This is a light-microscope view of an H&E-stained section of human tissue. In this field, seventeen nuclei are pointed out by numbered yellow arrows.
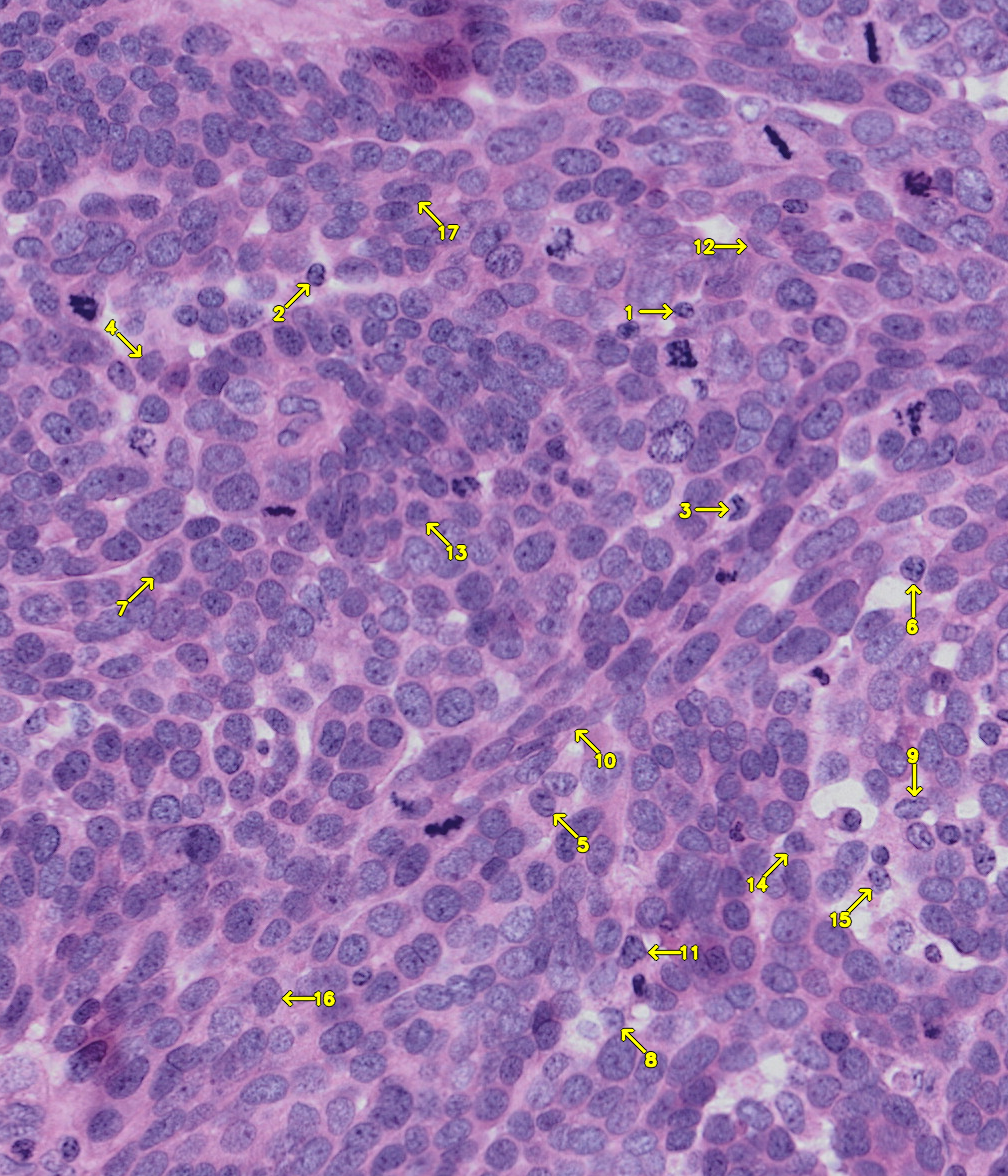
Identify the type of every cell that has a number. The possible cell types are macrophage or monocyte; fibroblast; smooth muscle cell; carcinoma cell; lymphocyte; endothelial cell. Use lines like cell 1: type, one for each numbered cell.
cell 1: lymphocyte
cell 2: lymphocyte
cell 3: macrophage or monocyte
cell 4: carcinoma cell
cell 5: macrophage or monocyte
cell 6: macrophage or monocyte
cell 7: carcinoma cell
cell 8: macrophage or monocyte
cell 9: macrophage or monocyte
cell 10: carcinoma cell
cell 11: macrophage or monocyte
cell 12: carcinoma cell
cell 13: carcinoma cell
cell 14: macrophage or monocyte
cell 15: macrophage or monocyte
cell 16: carcinoma cell
cell 17: carcinoma cell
